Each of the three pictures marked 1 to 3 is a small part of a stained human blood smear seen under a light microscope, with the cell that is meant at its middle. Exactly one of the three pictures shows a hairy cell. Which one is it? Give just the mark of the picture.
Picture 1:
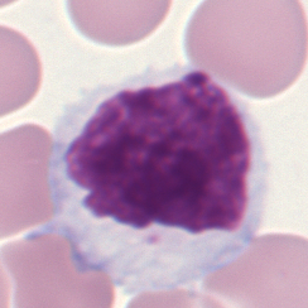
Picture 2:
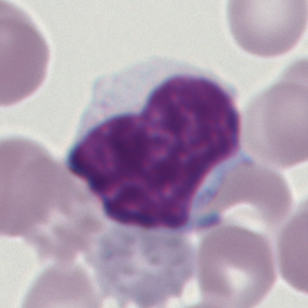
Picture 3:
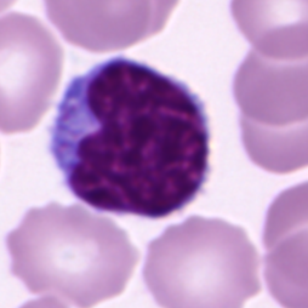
1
